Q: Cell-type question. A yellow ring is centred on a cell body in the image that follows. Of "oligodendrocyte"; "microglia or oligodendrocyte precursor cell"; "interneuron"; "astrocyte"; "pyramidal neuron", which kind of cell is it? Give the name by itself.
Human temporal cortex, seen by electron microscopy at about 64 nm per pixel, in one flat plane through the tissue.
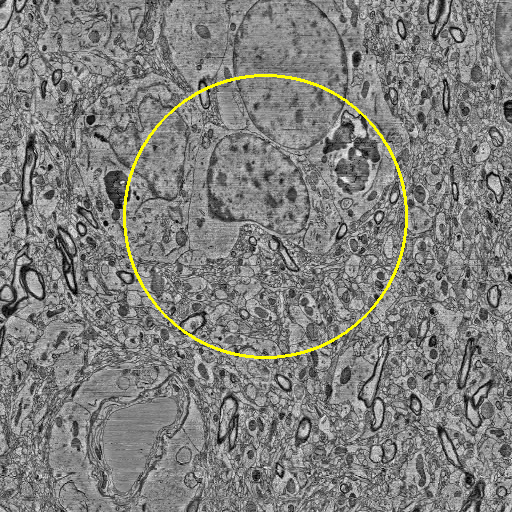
microglia or oligodendrocyte precursor cell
